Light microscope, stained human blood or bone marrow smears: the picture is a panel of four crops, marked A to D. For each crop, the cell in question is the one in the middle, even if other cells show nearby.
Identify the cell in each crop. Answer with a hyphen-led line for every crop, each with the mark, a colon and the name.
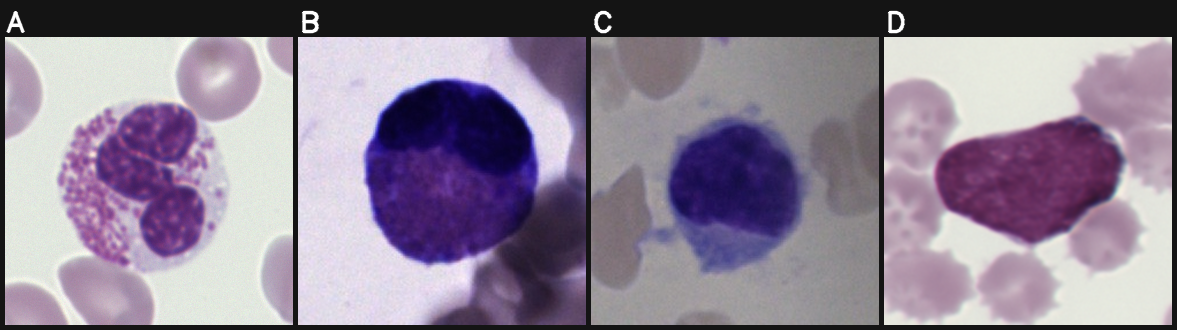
- A: eosinophil
- B: eosinophil
- C: hairy cell
- D: blast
